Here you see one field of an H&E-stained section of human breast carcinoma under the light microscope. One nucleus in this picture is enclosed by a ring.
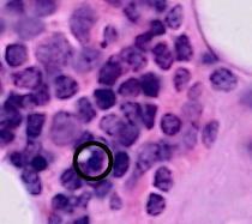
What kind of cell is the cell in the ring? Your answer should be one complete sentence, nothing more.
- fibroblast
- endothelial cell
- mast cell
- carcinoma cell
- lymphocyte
In this section, the cell in the ring is a lymphocyte.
